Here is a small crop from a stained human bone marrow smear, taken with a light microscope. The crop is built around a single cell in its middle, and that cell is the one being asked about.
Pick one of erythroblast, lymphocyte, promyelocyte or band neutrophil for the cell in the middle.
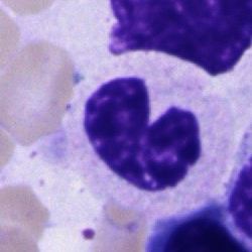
band neutrophil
